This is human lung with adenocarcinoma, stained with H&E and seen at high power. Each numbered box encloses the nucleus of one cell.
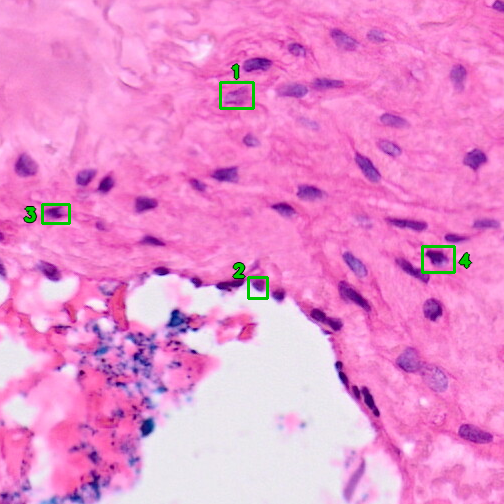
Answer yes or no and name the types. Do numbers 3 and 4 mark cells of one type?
Yes, note that cells 3 and 4 are both smooth muscle cells or pericytes.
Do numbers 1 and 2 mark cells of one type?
No, cell 1 is typed as a smooth muscle cell or pericyte, and cell 2 is typed as an endothelial cell.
